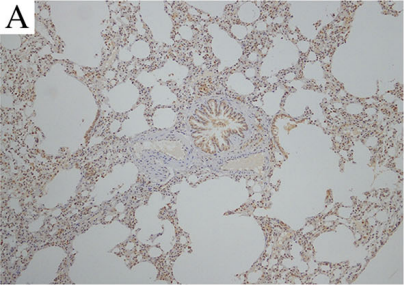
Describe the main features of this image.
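Lung tissue with alveolar air spaces of varying size, some large and open, separated by thin septa, with denser, more cellular septal areas at the left and lower parts. In the centre a small airway with a folded epithelial lining sits beside blood vessels within a sheath of connective tissue. Light brown staining is seen in many cells of the alveolar septa and in the airway epithelium, mixed with blue-stained nuclei. The surrounding connective tissue cuff is paler and stains mostly blue.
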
